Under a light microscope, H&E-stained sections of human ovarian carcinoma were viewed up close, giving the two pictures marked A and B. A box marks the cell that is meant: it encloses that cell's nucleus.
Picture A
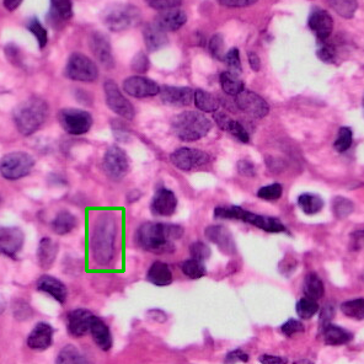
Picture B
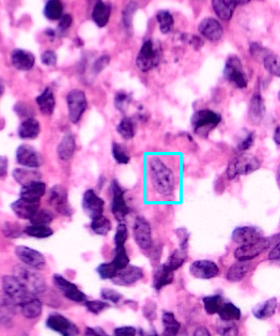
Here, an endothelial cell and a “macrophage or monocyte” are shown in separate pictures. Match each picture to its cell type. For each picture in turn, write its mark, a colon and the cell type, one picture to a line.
A: endothelial cell
B: macrophage or monocyte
